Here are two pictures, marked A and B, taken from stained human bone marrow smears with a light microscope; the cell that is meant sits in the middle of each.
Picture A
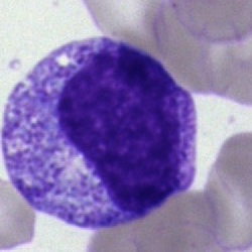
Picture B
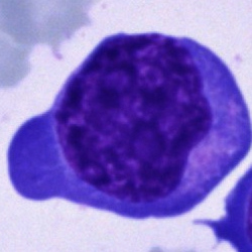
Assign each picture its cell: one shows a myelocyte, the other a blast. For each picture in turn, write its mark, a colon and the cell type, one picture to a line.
A: myelocyte
B: blast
